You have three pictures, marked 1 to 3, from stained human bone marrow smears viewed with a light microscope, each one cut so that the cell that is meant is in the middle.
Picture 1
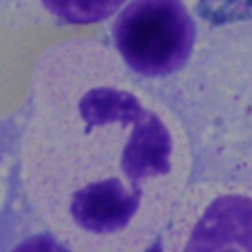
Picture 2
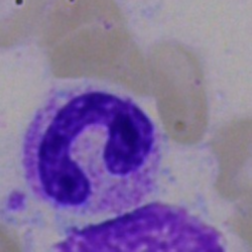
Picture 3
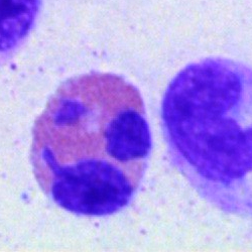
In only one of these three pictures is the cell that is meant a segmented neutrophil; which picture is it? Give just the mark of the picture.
1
